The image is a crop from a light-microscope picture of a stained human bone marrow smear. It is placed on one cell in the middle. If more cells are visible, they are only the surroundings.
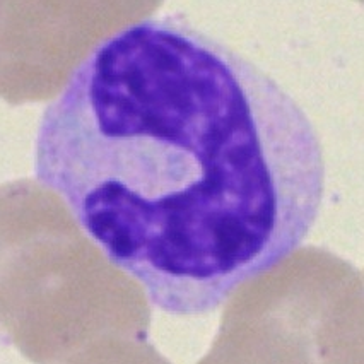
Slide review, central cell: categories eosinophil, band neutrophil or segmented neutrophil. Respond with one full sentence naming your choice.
Centrally within this crop lies a band neutrophil.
